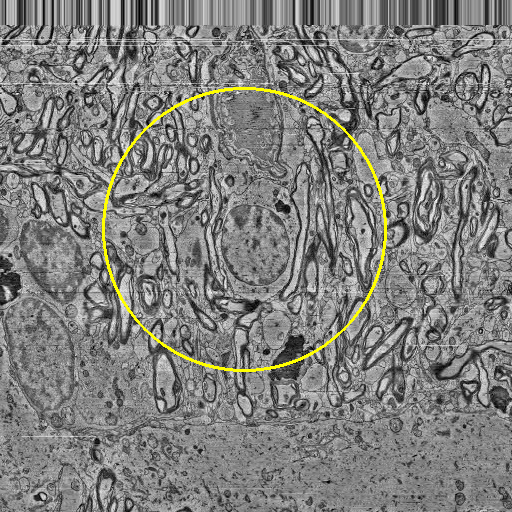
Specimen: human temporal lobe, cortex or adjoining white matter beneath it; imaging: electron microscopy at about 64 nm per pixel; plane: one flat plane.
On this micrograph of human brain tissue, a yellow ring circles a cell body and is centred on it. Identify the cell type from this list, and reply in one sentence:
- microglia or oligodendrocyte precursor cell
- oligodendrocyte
The cell at the centre is a microglial cell or oligodendrocyte precursor cell.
